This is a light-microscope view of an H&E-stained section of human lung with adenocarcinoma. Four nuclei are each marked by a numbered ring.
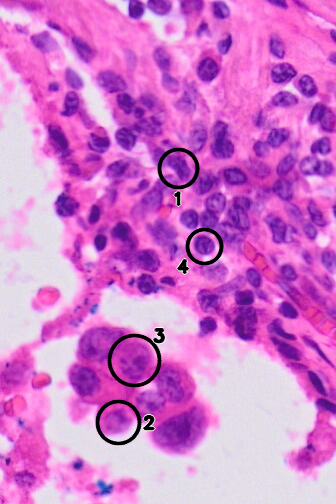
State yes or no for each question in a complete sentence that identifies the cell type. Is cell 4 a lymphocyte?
Yes, the cell whose number is 4 is a lymphocyte.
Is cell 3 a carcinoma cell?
Yes, the cell pointed out as number 3 is a carcinoma cell.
